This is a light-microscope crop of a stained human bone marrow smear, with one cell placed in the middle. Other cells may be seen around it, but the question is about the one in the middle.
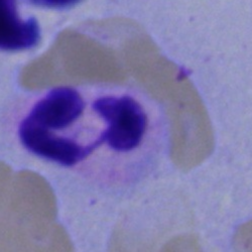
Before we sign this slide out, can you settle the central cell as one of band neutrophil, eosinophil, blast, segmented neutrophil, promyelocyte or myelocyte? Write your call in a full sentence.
In this smear crop, the middle cell is a segmented neutrophil.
